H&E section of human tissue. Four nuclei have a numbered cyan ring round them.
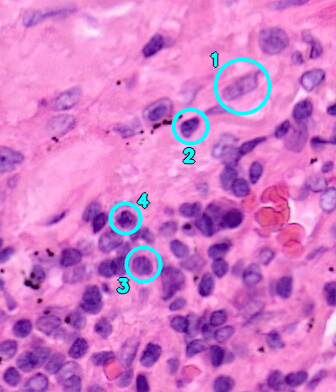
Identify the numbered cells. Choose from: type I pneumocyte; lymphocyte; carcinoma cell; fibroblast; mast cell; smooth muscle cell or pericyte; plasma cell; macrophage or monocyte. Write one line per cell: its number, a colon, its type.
1: fibroblast
2: lymphocyte
3: lymphocyte
4: lymphocyte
